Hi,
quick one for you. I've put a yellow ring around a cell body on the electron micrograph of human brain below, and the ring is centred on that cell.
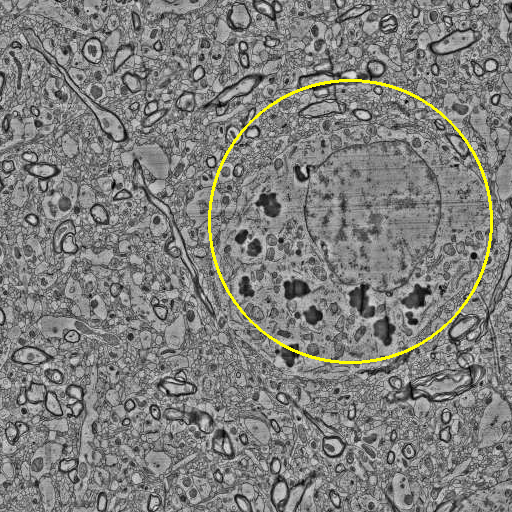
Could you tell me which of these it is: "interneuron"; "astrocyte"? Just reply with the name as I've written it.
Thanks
interneuron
